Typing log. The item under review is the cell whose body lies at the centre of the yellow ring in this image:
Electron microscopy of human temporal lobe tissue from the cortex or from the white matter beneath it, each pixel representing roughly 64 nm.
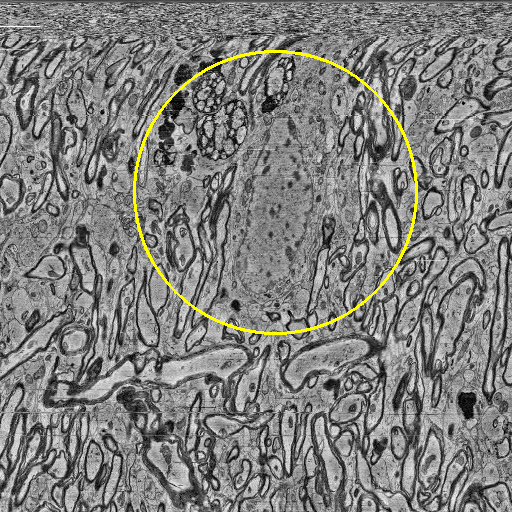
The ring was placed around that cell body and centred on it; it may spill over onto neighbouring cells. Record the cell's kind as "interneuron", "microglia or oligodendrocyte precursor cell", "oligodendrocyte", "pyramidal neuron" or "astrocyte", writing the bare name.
astrocyte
